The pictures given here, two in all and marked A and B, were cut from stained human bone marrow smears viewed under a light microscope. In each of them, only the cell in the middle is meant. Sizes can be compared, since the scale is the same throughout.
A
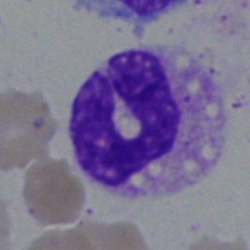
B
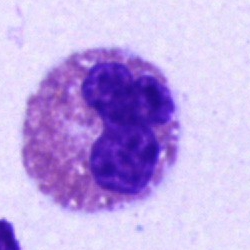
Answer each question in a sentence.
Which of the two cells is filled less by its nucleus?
It is the cell in crop B that is filled less by its nucleus.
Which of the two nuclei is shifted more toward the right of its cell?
In crop B the nucleus is shifted more toward the right.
